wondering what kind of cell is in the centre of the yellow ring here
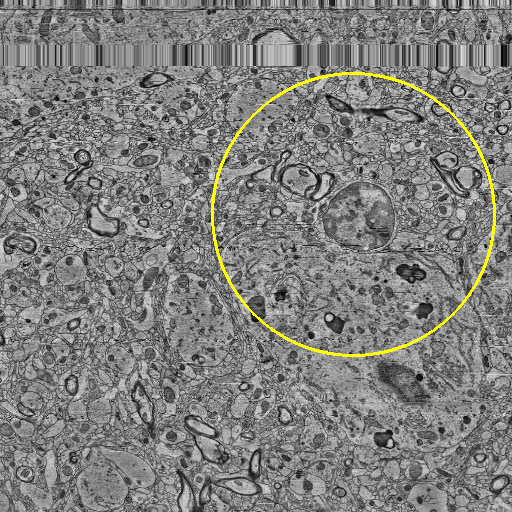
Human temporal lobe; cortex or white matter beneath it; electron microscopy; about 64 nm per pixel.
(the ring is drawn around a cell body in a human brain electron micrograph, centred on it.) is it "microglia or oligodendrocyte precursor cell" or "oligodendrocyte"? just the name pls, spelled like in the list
microglia or oligodendrocyte precursor cell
